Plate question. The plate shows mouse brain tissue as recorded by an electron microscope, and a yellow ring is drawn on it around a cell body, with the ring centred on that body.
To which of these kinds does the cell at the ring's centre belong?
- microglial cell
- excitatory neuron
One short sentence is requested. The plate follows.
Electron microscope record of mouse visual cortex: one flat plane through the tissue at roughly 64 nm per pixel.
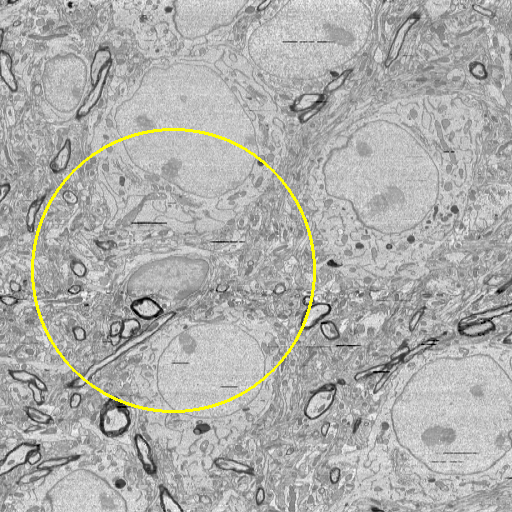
The cell at the ring's centre is a microglial cell.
